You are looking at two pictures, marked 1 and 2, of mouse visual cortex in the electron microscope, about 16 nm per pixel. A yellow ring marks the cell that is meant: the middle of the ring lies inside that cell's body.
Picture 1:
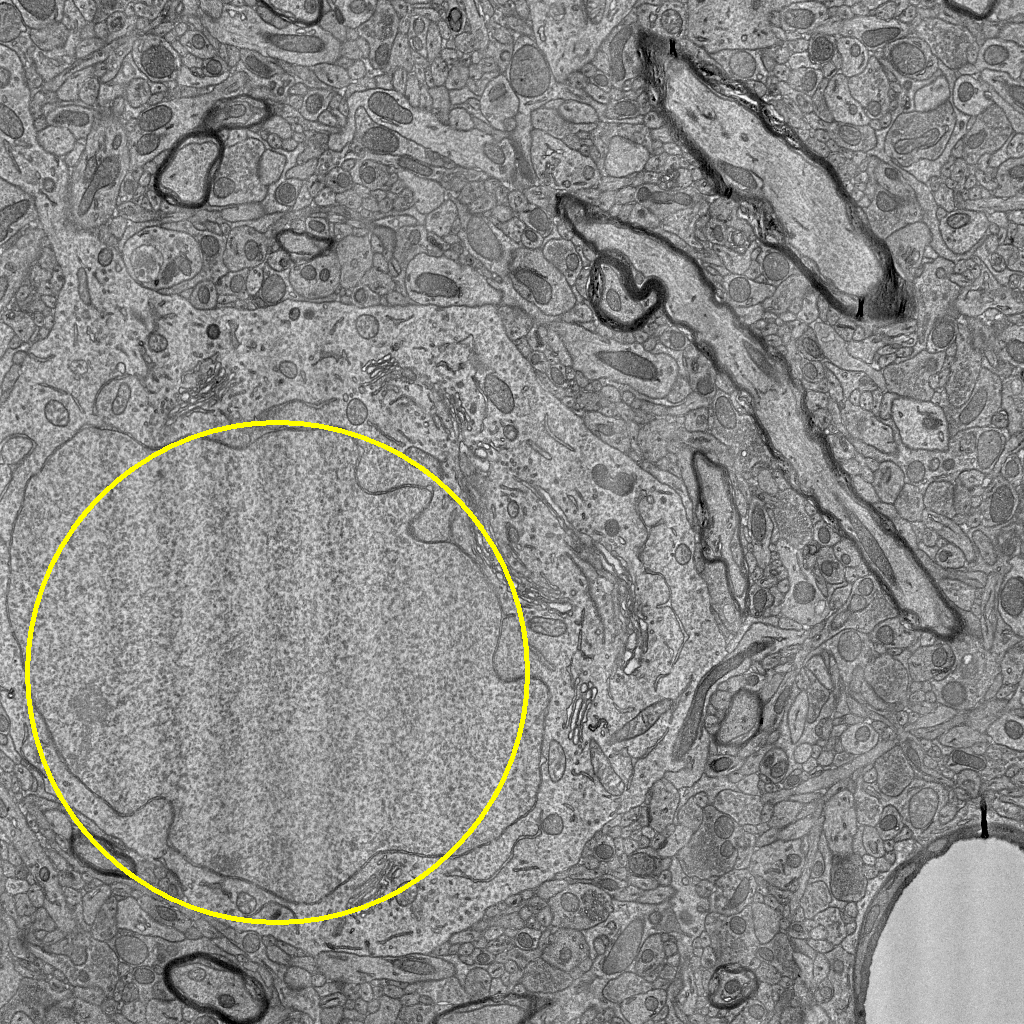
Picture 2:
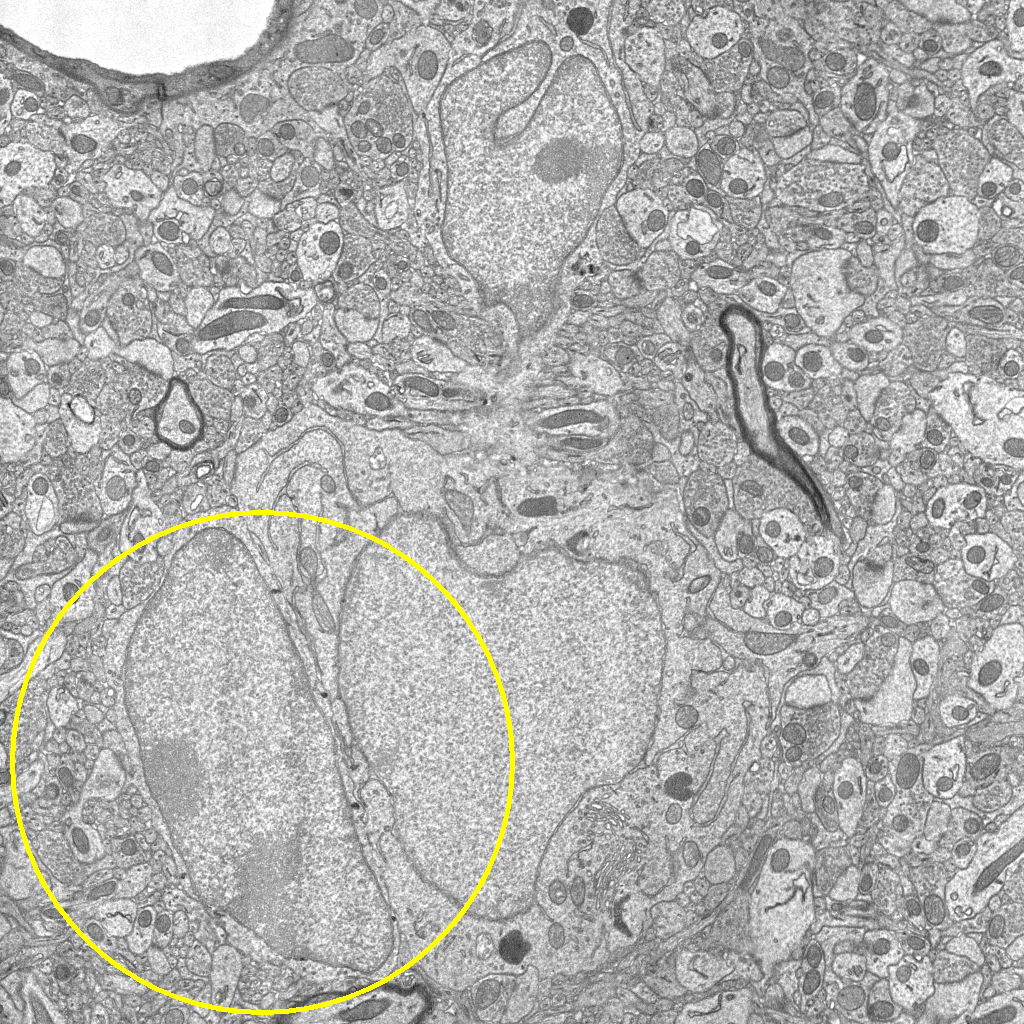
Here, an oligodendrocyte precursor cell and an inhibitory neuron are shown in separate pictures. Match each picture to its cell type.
In picture 1 the cell is an inhibitory neuron; in picture 2, an oligodendrocyte precursor cell.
